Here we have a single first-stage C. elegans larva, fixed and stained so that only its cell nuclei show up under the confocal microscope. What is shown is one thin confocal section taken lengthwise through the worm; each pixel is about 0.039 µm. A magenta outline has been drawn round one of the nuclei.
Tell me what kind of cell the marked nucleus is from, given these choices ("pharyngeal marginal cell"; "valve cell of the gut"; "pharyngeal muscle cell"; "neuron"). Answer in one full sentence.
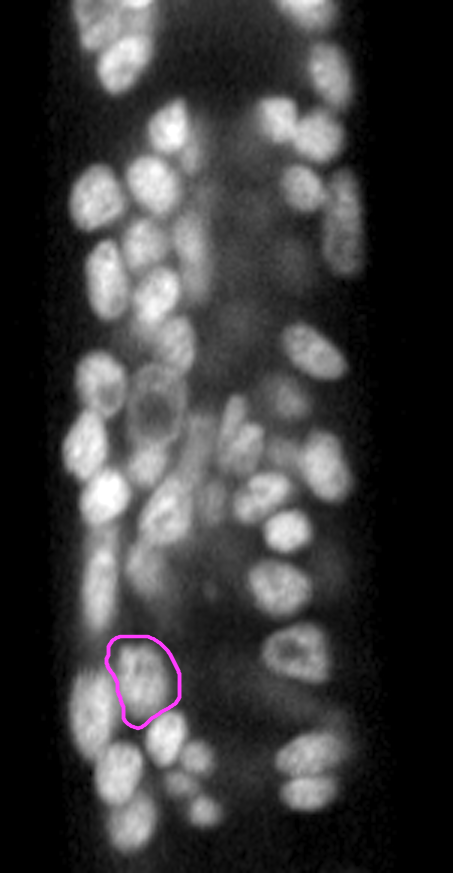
This nucleus is from a pharyngeal marginal cell.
